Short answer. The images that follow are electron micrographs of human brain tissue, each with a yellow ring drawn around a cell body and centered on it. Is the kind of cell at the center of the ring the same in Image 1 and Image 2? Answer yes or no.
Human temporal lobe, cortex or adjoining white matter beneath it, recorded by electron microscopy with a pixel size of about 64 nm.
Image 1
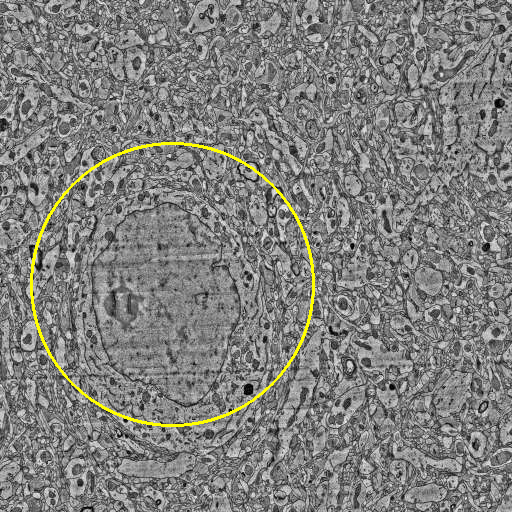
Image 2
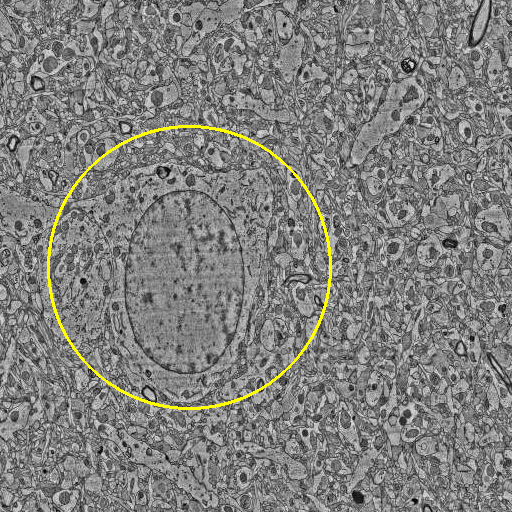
yes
